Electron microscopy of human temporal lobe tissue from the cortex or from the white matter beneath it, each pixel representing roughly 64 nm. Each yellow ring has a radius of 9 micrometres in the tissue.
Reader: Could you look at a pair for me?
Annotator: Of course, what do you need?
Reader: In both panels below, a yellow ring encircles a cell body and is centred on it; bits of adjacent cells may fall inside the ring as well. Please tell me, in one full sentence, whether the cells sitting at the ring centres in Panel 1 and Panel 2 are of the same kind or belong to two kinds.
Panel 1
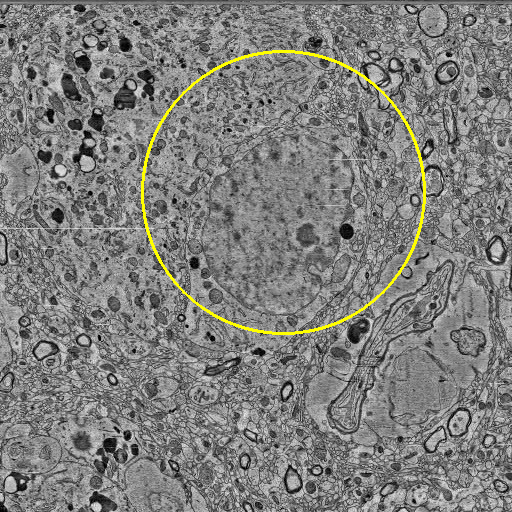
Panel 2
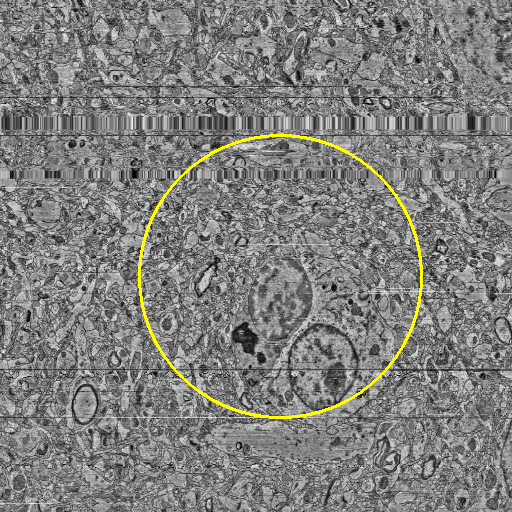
The cell at the ring's centre in Panel 1 and the one in Panel 2 belong to two kinds.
